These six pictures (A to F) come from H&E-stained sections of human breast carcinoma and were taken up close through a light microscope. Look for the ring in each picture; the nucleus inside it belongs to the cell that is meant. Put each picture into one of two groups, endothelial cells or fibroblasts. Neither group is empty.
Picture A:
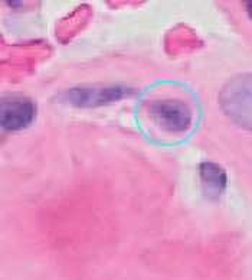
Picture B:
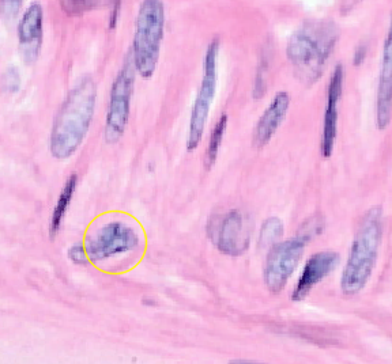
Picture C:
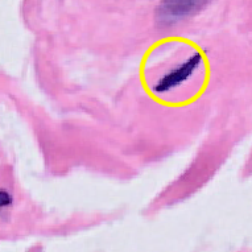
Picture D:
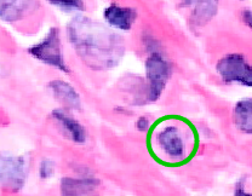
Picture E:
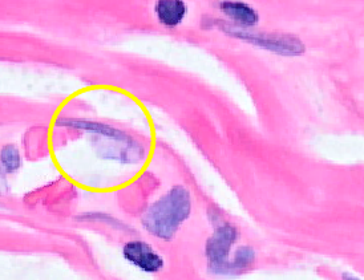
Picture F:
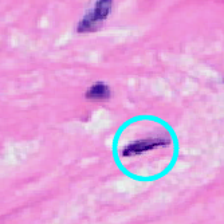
A: endothelial cell
B: endothelial cell
C: fibroblast
D: endothelial cell
E: endothelial cell
F: fibroblast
